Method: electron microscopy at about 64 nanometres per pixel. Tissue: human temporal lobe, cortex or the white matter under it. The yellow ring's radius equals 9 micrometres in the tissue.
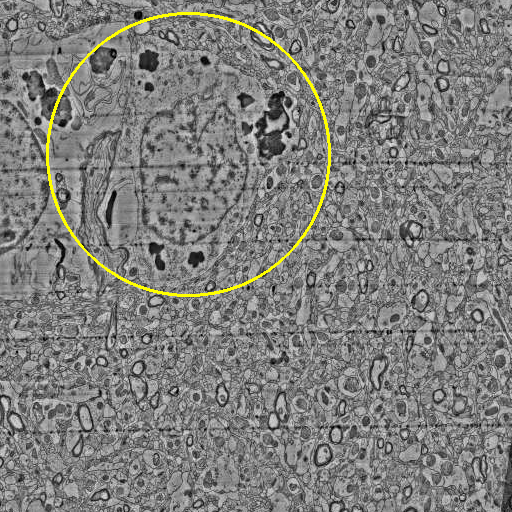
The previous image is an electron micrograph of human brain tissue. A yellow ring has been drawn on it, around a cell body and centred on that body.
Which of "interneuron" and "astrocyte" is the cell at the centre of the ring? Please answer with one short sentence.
The cell body at the centre of the ring belongs to an interneuron.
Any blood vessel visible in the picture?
No.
